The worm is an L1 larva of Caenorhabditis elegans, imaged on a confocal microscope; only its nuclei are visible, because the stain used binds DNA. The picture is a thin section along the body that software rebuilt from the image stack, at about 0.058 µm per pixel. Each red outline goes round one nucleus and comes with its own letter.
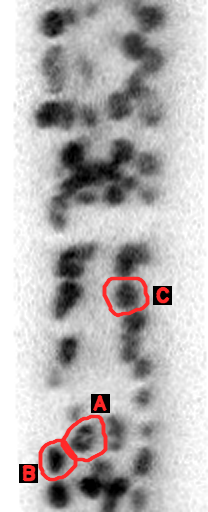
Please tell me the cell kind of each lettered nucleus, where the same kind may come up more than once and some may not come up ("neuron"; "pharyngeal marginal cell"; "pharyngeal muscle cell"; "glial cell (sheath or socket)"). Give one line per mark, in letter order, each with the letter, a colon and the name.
A: pharyngeal muscle cell
B: glial cell (sheath or socket)
C: neuron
